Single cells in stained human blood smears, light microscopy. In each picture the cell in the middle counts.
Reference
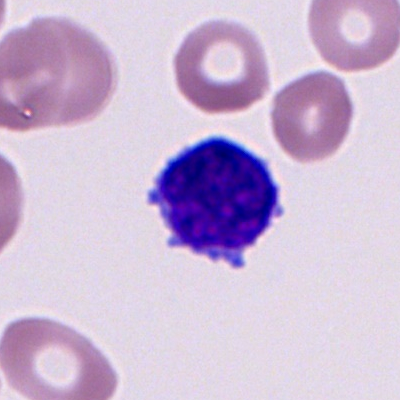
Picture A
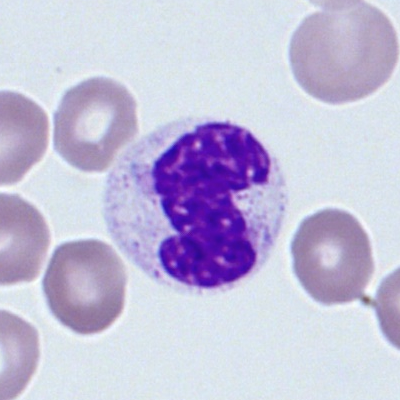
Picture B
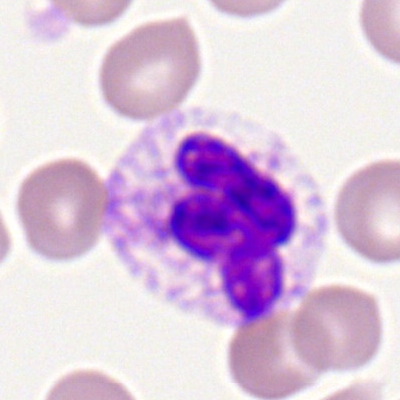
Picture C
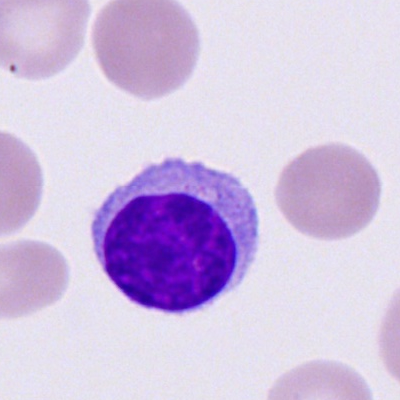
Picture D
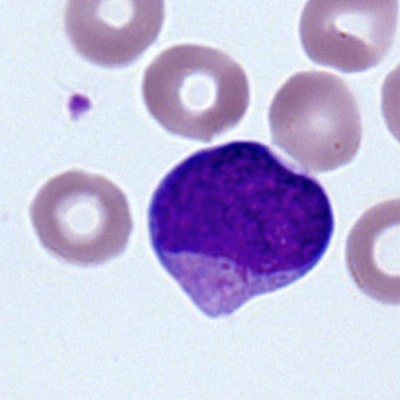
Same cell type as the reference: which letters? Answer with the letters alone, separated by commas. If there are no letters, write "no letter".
C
